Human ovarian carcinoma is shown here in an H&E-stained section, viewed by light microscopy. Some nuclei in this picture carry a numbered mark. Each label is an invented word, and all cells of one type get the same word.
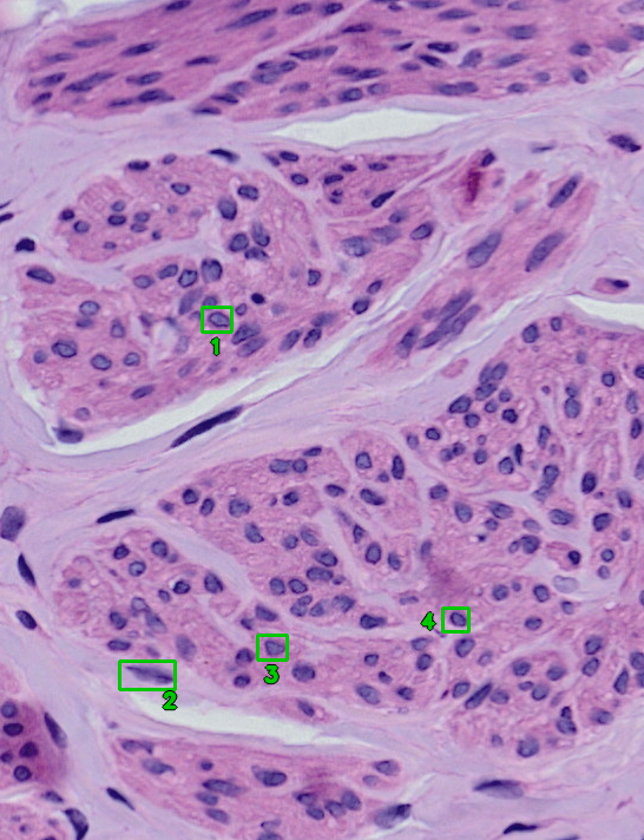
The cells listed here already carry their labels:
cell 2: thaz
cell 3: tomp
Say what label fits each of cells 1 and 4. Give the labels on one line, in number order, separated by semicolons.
tomp; tomp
